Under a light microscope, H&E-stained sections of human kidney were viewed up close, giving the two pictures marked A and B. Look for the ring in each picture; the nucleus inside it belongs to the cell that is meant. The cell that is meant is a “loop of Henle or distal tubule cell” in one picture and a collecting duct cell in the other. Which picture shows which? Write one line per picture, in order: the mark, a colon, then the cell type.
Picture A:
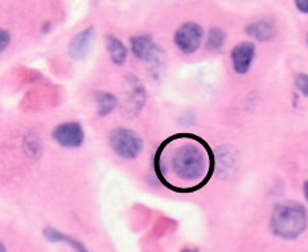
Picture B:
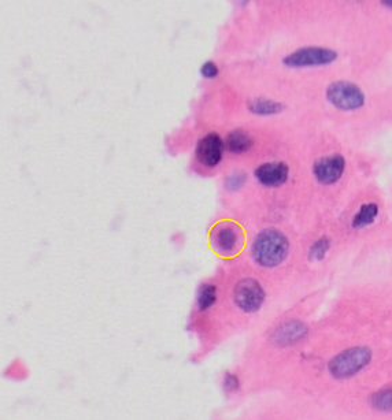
A: collecting duct cell
B: loop of Henle or distal tubule cell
